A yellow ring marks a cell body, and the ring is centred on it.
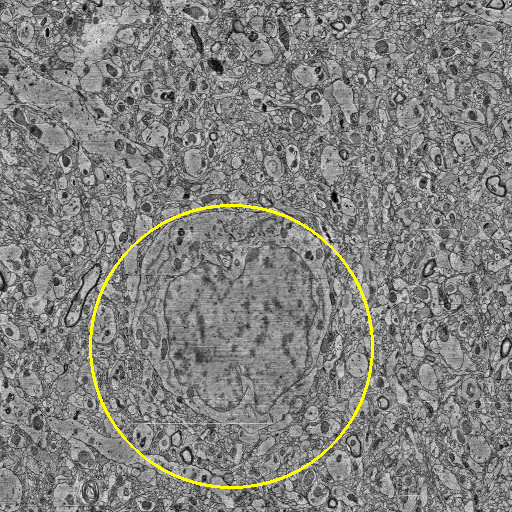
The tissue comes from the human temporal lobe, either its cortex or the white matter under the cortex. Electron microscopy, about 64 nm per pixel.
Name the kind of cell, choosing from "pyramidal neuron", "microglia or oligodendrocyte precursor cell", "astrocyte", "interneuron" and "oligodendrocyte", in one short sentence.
The marked cell body belongs to an interneuron.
